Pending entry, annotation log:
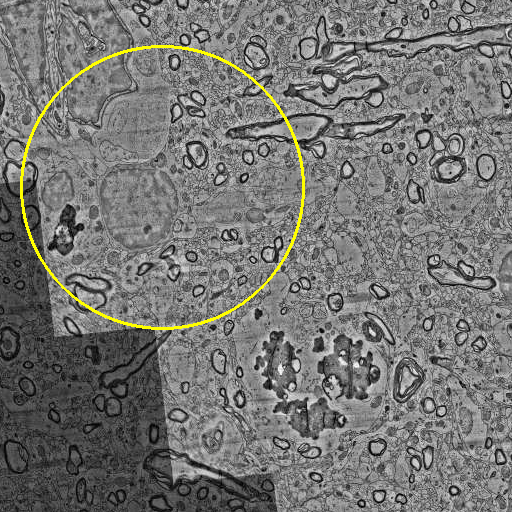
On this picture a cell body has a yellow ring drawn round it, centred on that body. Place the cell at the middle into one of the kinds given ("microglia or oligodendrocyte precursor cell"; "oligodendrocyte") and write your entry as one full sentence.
The cell body at the middle of the yellow ring belongs to an oligodendrocyte.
